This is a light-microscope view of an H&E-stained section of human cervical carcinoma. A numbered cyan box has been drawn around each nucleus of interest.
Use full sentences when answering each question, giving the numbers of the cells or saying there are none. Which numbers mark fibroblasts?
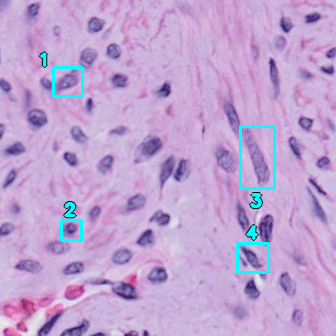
Just the cell marked 4 is a fibroblast; none of the other marked cells is.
